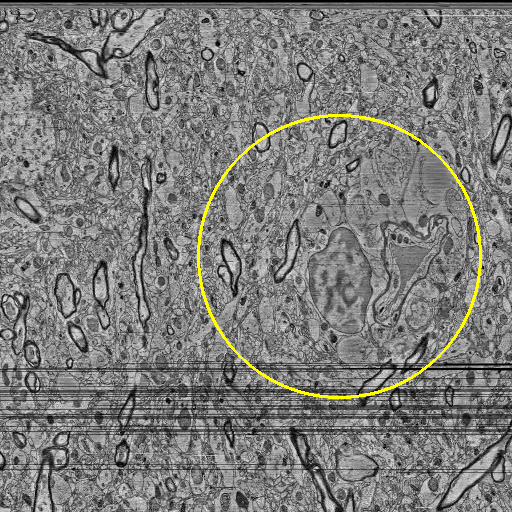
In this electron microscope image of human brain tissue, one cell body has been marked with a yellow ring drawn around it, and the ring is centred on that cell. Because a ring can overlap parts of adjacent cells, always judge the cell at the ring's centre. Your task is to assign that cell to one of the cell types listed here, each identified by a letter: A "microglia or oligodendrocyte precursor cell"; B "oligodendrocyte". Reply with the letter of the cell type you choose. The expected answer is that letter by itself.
A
